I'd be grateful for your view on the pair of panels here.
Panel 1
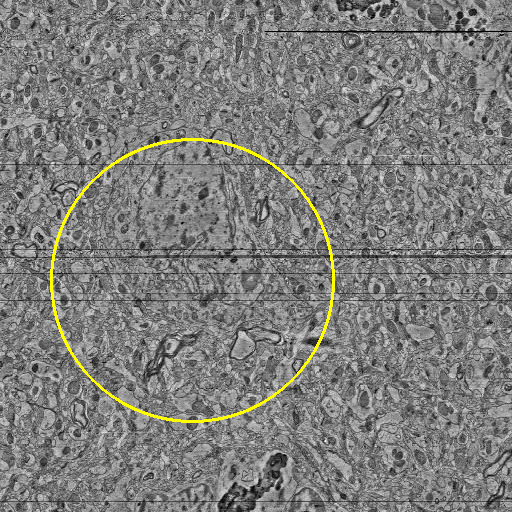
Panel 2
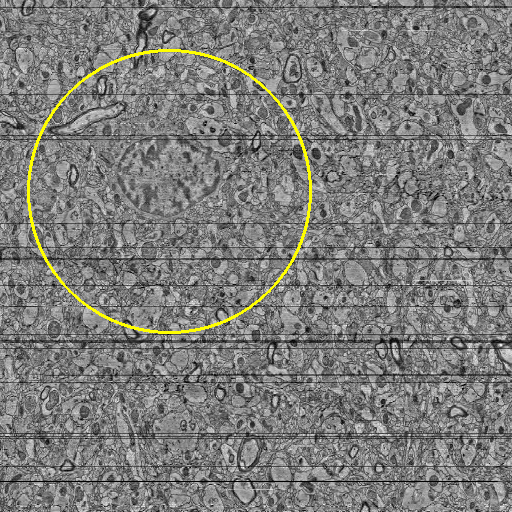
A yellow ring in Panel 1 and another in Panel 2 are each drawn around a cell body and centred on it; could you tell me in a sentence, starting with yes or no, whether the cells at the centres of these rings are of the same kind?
No, they are two kinds of cell.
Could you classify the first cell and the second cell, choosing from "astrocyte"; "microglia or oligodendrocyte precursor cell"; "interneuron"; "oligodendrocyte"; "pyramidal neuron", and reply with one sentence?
The second cell is an oligodendrocyte, while the first is an interneuron.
